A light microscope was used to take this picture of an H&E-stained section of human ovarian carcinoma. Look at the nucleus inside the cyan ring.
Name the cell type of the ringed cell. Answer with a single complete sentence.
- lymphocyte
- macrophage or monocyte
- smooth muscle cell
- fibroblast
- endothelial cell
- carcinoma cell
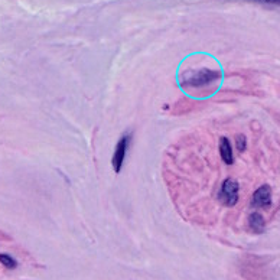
Assigned to a cell type, the ringed cell is a smooth muscle cell.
